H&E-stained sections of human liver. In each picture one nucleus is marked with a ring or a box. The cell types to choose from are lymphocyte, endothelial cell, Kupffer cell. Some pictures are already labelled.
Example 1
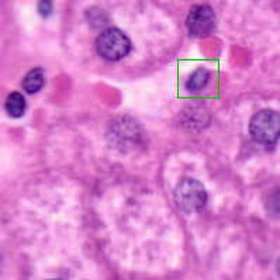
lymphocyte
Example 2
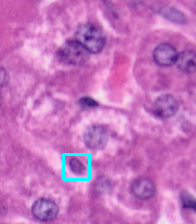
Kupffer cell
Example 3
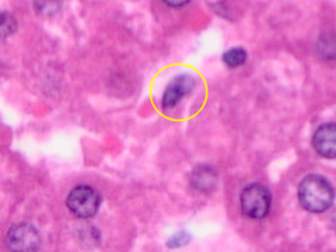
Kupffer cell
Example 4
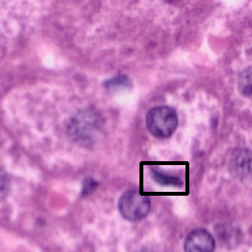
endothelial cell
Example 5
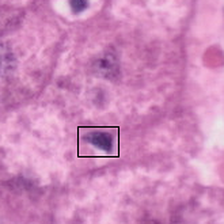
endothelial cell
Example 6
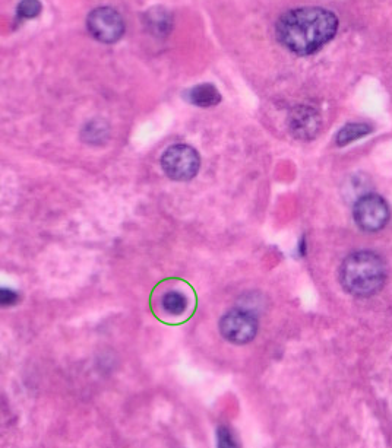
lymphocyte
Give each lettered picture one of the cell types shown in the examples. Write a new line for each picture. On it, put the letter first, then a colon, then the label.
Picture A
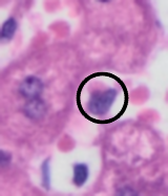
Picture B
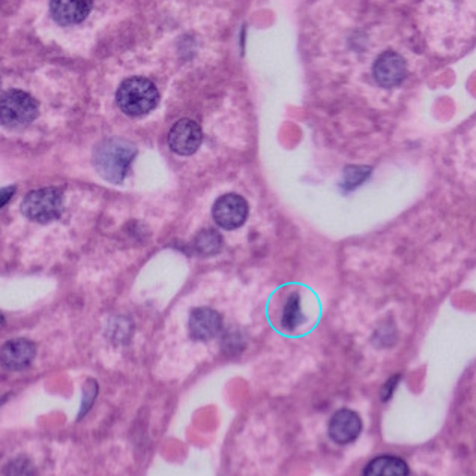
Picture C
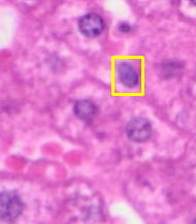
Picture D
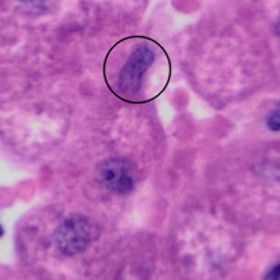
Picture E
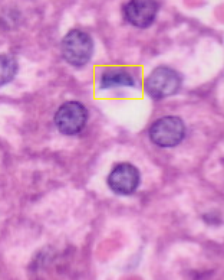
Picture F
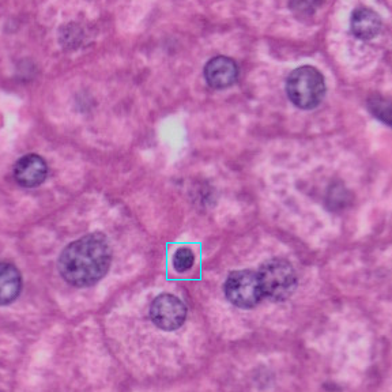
A: Kupffer cell
B: endothelial cell
C: Kupffer cell
D: Kupffer cell
E: endothelial cell
F: lymphocyte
